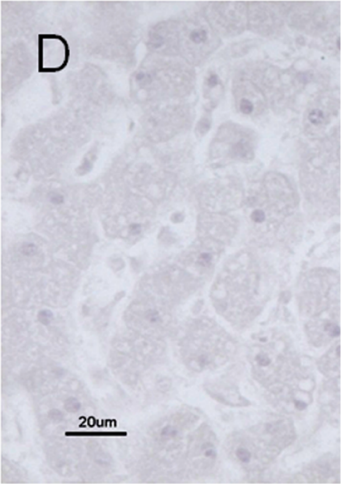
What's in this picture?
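This is liver tissue made of large polygonal hepatocytes arranged in cords separated by pale, narrow spaces. The cytoplasm is pale grey-purple and finely granular to vacuolated. Each cell has a round, pale purple nucleus, some with a visible nucleolus. No brown colour is seen in either nuclei or cytoplasm anywhere in the field.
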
